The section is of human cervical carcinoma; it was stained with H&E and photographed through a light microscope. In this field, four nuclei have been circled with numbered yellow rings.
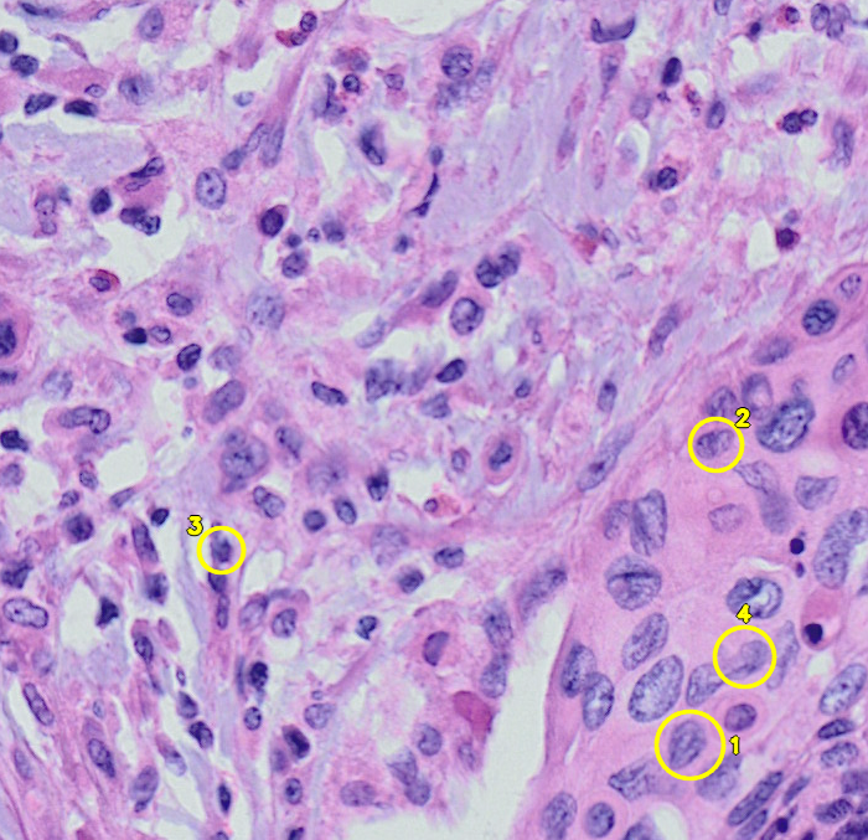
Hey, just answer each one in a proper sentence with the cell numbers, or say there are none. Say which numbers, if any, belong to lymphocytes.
Cell 3 is a lymphocyte, whereas each of the other numbered cells is not.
